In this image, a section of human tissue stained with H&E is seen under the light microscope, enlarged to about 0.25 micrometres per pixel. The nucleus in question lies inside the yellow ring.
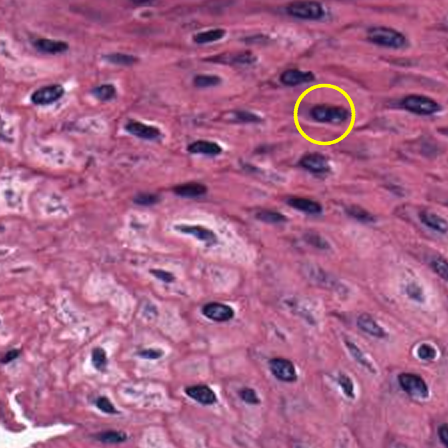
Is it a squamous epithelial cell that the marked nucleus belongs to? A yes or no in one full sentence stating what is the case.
Yes, the marked nucleus is one belonging to a squamous epithelial cell.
